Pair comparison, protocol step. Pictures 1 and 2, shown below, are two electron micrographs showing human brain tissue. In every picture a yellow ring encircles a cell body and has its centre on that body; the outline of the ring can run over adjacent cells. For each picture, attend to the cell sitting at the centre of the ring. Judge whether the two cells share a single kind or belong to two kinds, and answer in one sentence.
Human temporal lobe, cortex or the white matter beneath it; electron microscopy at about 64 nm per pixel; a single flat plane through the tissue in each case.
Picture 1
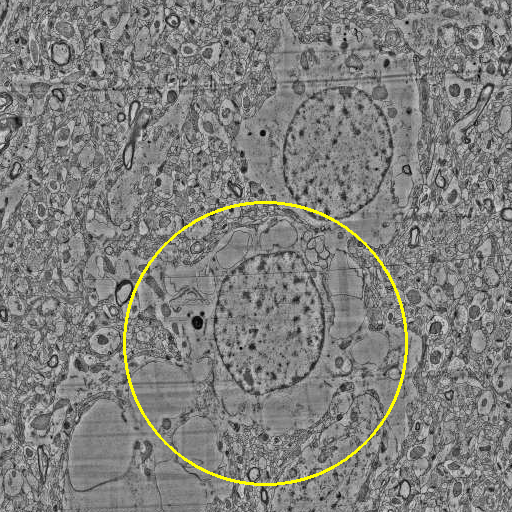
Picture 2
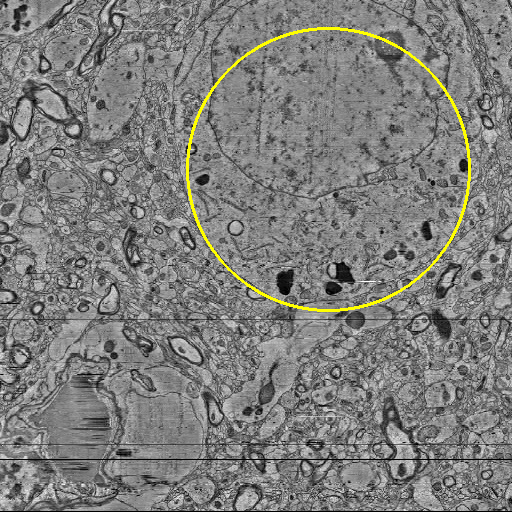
The two cells at the ring centres in Picture 1 and Picture 2 belong to two kinds.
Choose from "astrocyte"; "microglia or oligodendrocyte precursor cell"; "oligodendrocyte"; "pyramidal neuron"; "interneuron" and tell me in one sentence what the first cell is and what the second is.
What the first ring is centred on is an astrocyte; what the second ring is centred on is a pyramidal neuron.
